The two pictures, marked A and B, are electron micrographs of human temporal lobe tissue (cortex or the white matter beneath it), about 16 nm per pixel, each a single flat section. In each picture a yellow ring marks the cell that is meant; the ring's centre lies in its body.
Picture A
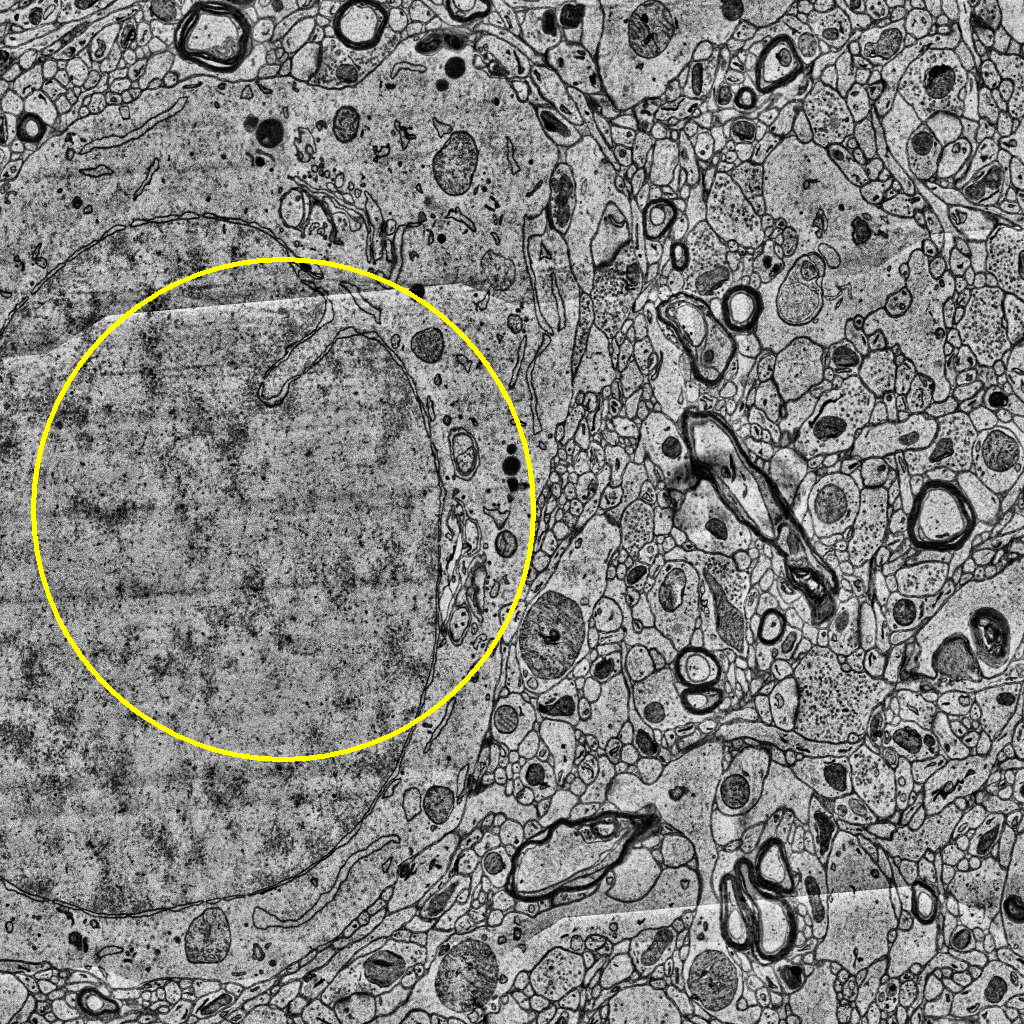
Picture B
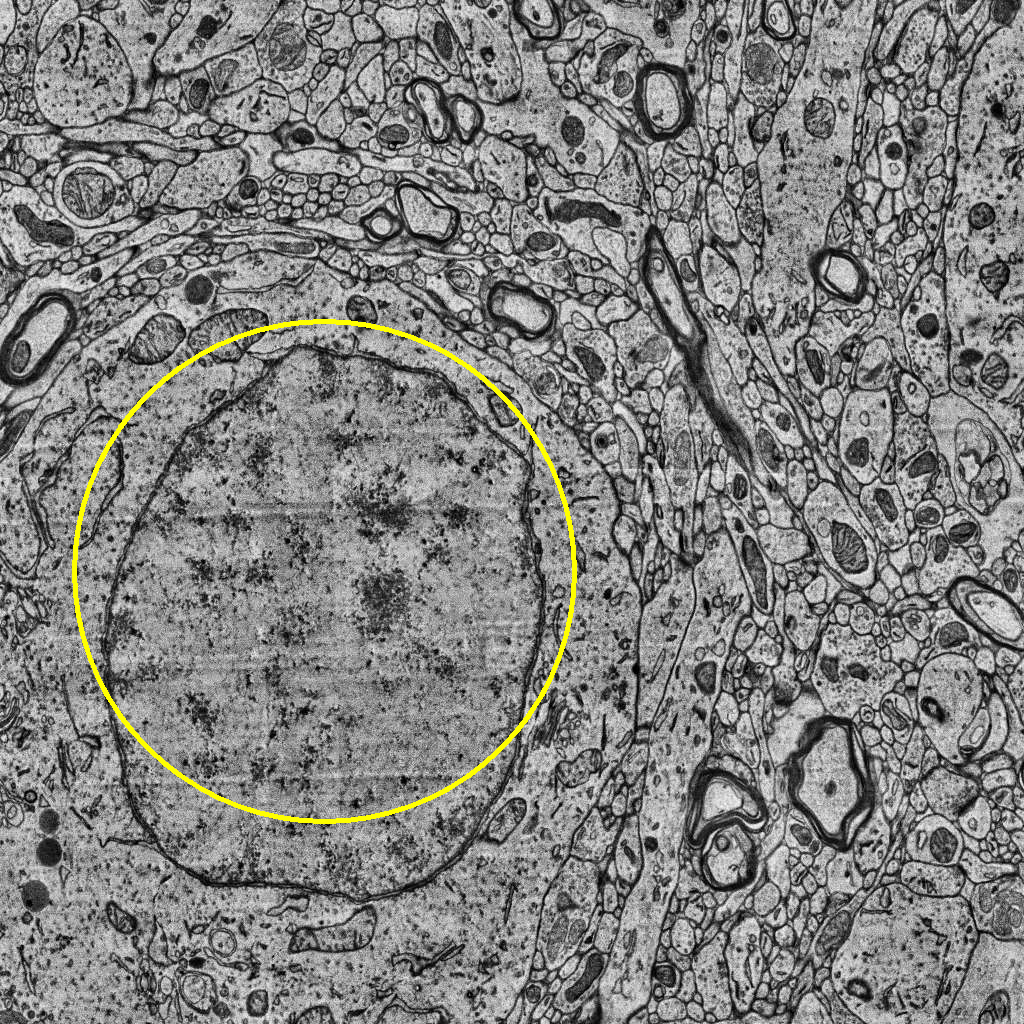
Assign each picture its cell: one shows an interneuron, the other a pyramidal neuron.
Picture B shows a pyramidal neuron, while picture A shows an interneuron.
